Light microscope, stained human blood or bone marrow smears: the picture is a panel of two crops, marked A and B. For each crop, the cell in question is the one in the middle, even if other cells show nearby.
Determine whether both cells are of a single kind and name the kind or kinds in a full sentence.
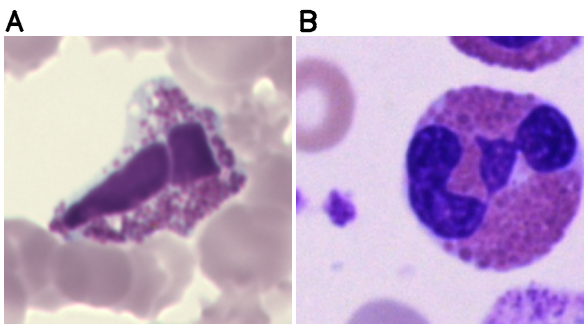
Yes, the two crops share the same answer, eosinophils.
